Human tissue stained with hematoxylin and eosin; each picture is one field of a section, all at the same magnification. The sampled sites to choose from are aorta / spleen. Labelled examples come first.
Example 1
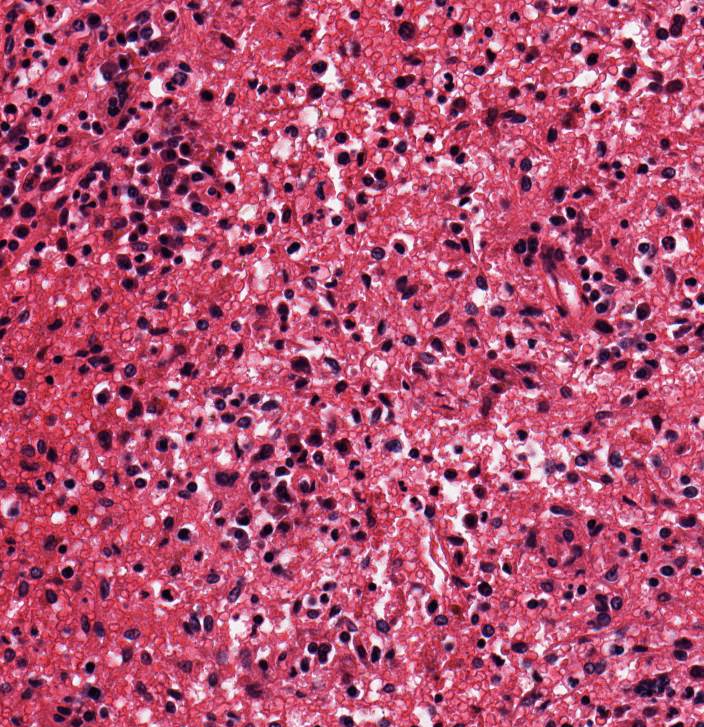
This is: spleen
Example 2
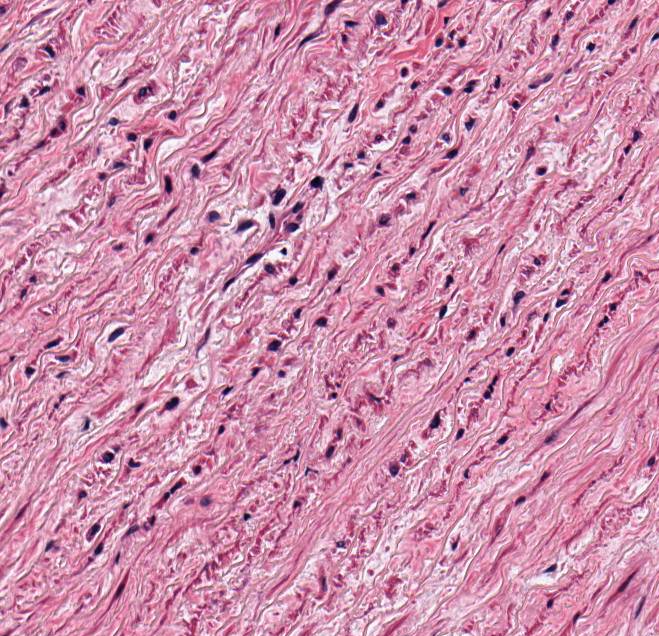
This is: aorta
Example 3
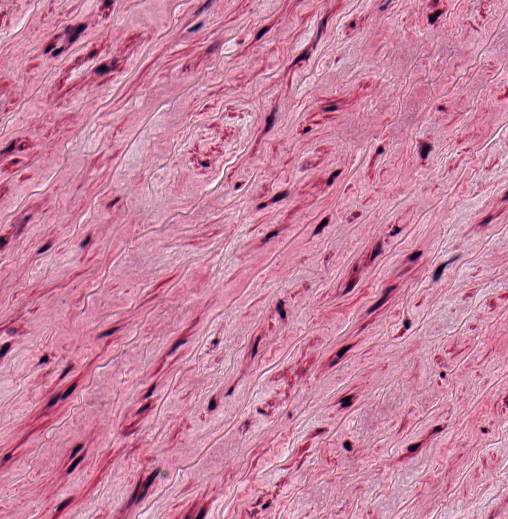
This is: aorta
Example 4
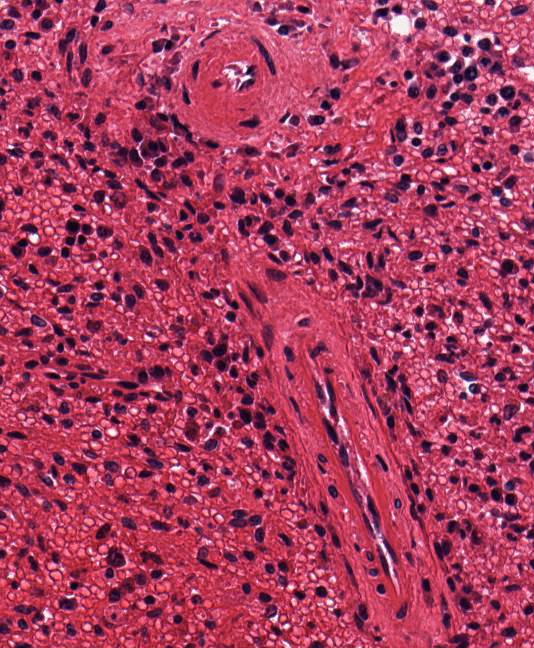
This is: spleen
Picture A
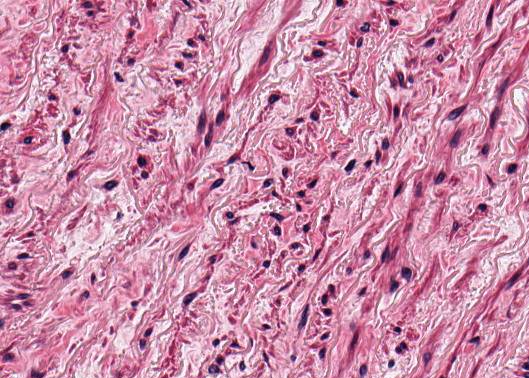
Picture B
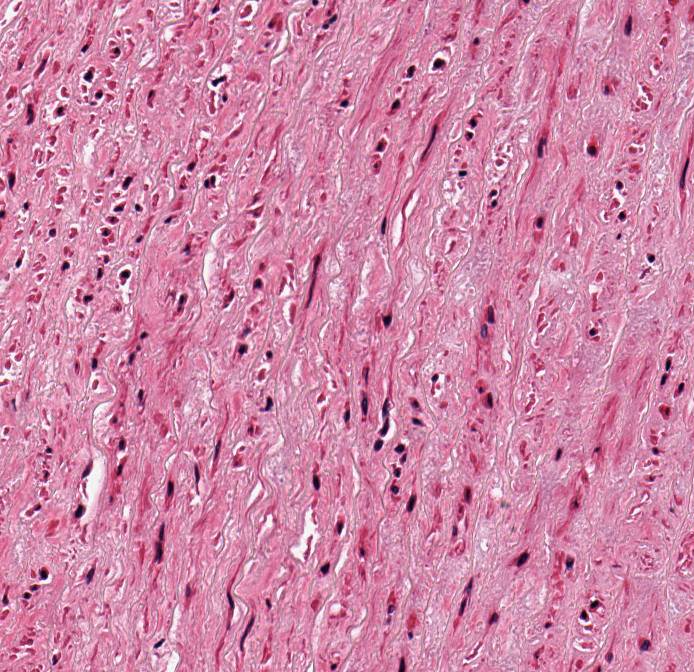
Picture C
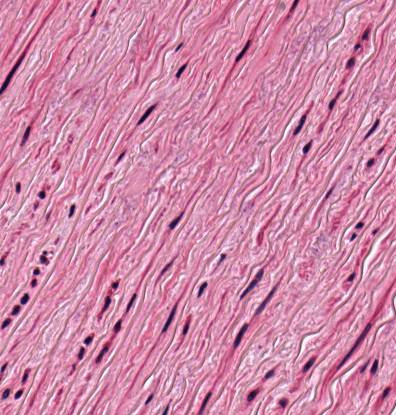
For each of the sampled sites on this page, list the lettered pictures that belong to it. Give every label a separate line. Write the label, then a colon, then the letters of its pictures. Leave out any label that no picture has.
aorta: A, B, C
